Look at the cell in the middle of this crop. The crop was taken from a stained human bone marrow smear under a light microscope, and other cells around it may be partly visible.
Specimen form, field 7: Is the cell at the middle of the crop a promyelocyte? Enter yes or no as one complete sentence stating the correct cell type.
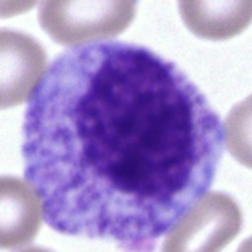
Yes, that middle cell in the crop is a promyelocyte.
